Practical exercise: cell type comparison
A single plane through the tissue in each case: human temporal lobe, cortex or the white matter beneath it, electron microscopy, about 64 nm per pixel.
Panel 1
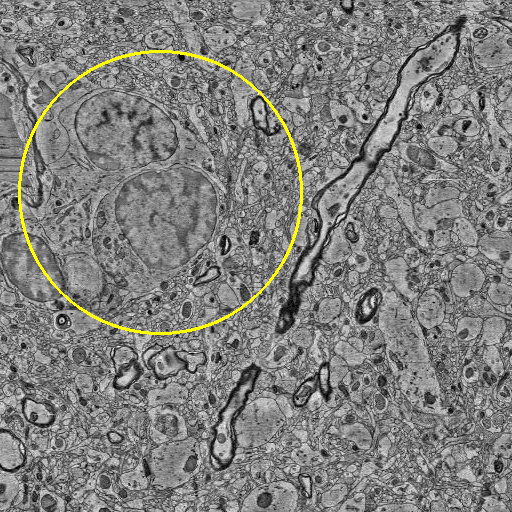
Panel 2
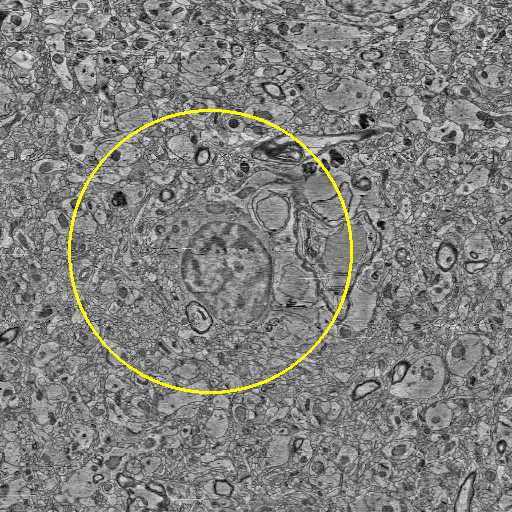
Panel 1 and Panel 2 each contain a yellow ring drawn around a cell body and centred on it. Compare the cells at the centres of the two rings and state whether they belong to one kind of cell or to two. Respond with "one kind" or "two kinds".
one kind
